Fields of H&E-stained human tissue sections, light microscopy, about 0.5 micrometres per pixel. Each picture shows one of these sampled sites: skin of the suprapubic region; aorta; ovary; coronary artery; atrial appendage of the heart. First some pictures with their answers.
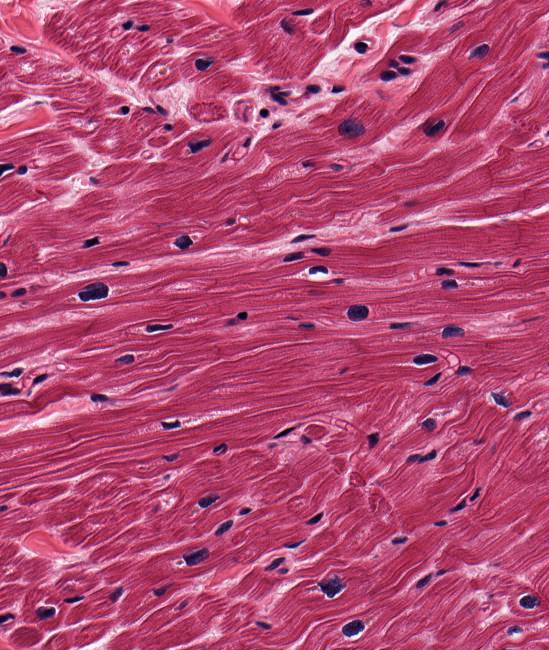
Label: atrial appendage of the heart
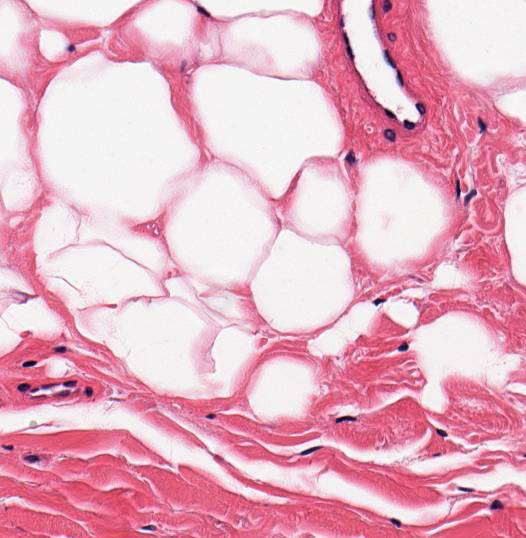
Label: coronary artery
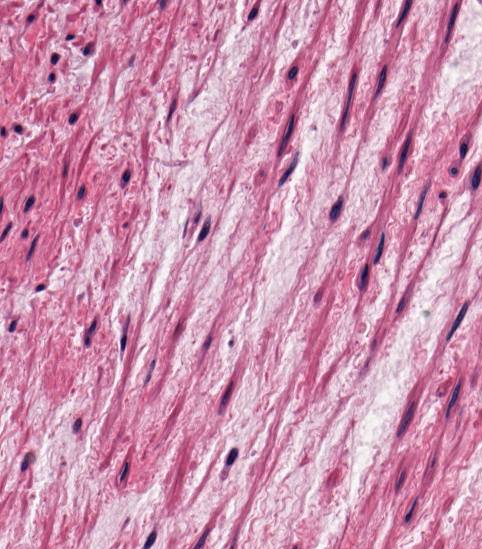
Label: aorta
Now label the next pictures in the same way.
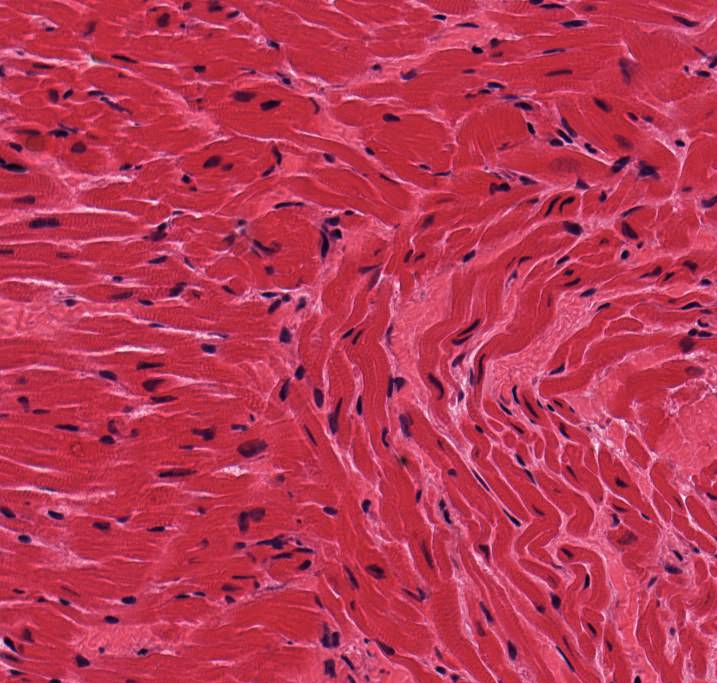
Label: atrial appendage of the heart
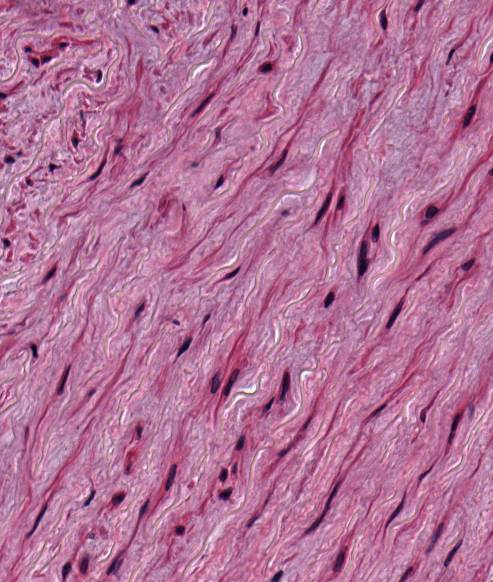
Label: aorta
